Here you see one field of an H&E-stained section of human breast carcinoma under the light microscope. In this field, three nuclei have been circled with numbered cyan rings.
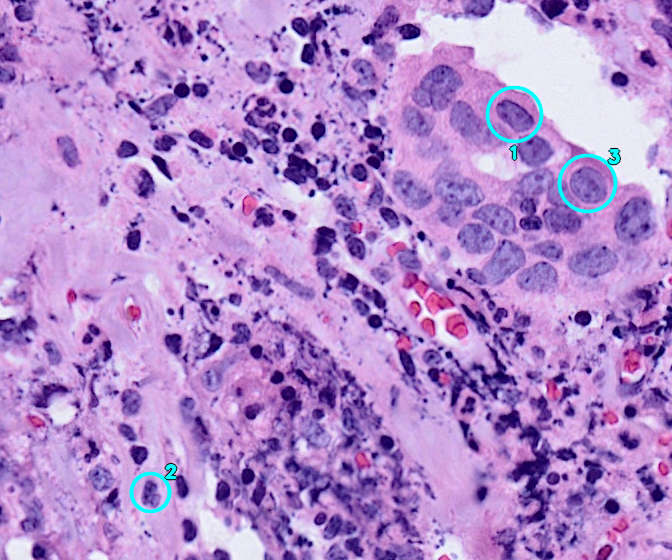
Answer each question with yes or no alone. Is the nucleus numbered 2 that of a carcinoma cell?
no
